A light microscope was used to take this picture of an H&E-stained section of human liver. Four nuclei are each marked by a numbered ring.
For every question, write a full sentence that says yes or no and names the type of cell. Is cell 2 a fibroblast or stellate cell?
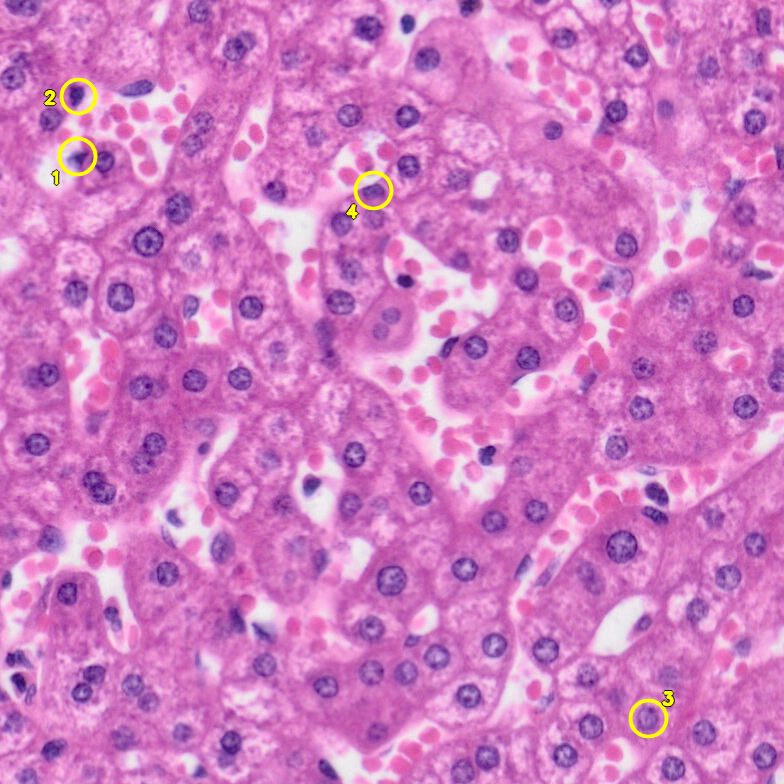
No, the cell that carries number 2 is a lymphocyte, not a fibroblast or stellate cell.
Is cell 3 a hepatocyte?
Yes, the cell given number 3 is a hepatocyte.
